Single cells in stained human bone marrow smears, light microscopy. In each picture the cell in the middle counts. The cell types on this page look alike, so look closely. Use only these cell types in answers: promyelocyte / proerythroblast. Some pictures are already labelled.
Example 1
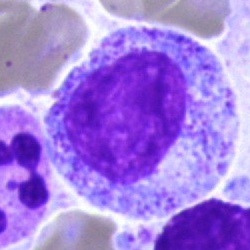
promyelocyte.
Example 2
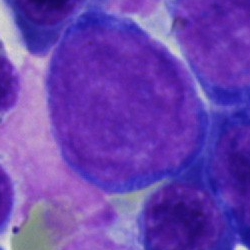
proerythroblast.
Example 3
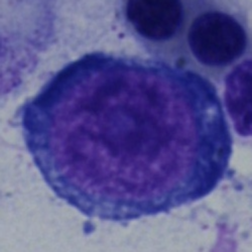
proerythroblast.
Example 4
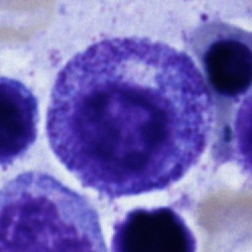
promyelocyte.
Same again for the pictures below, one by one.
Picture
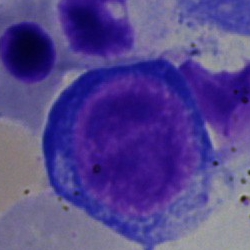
proerythroblast.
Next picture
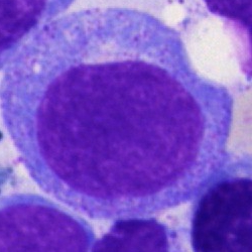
promyelocyte.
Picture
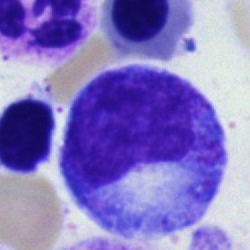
promyelocyte.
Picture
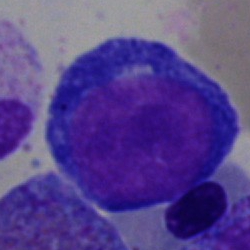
proerythroblast.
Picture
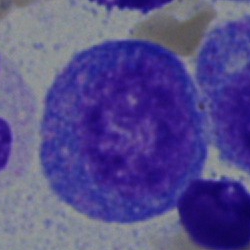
promyelocyte.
